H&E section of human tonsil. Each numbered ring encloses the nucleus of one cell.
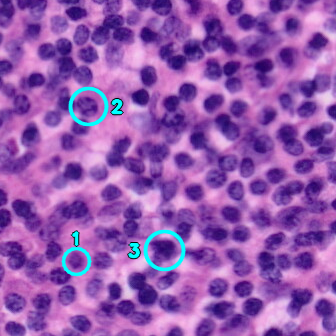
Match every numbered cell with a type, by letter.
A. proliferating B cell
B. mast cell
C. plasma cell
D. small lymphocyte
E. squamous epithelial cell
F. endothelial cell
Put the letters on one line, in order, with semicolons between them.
C; C; A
